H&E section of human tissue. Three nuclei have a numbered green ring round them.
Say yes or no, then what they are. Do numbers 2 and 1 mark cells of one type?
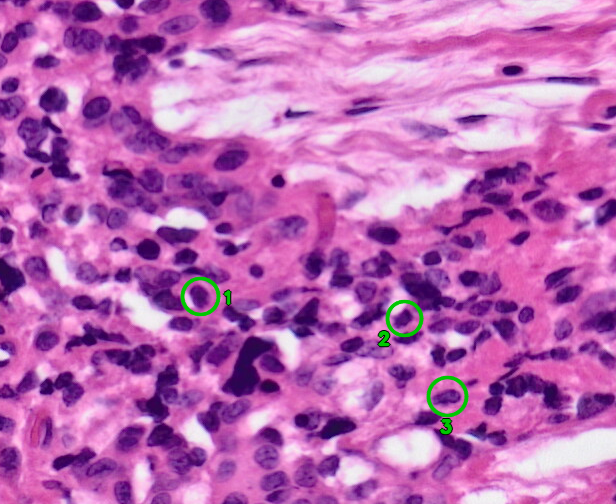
Yes, that is correct, cells 2 and 1 are both carcinoma cells.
